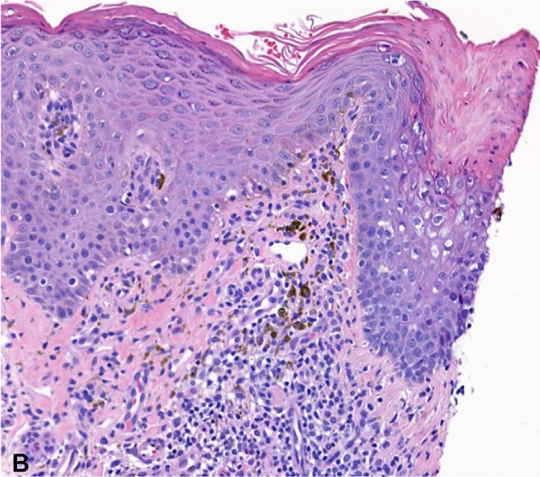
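Squamous epithelium of the epidermis and an infundibulum rests on a dermis containing many small dark lymphocytes and cells laden with coarse brown pigment, the melanophages. The keratinocytes are polygonal with pale pink cytoplasm and round nuclei, and a thin pink cornified layer covers the surface.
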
